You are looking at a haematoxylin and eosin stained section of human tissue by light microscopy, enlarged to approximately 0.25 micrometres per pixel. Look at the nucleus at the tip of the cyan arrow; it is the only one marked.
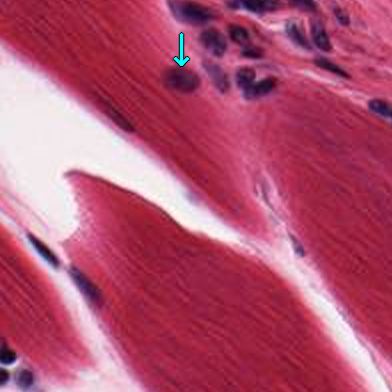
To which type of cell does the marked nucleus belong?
skeletal muscle fibre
